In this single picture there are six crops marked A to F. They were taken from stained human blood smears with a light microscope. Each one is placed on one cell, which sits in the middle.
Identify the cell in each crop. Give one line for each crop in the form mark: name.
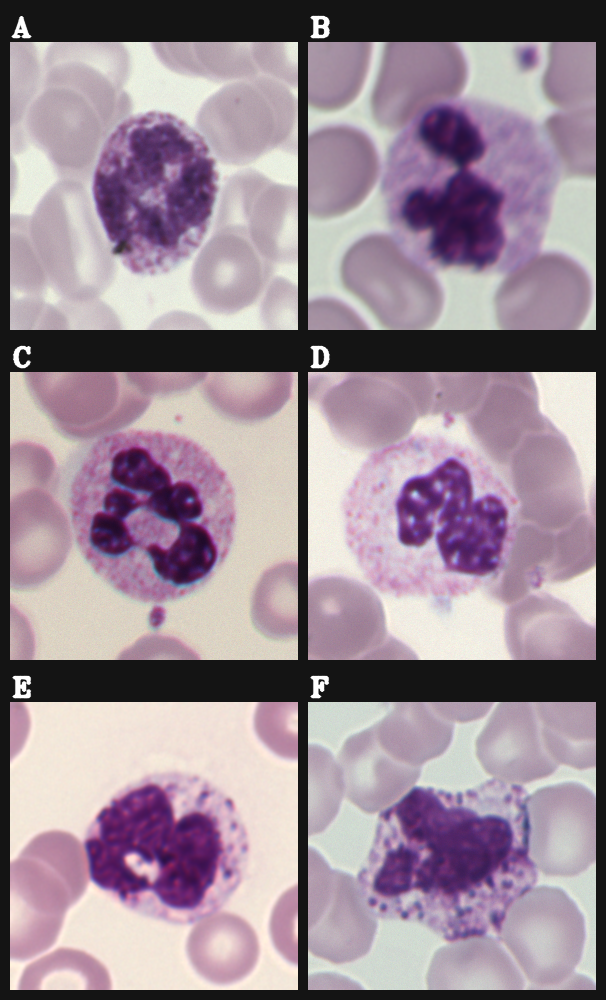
A: basophil
B: segmented neutrophil
C: segmented neutrophil
D: segmented neutrophil
E: basophil
F: basophil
